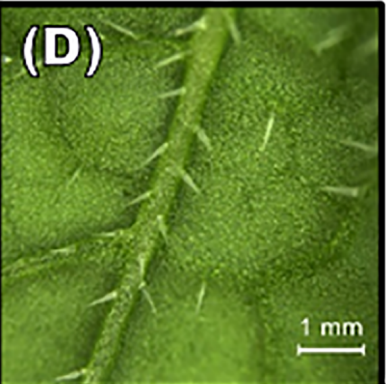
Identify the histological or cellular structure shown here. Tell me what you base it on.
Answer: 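Trichome. Short, pale, pointed hairs stand out from a raised vein running diagonally across the panel. A few similar hairs are scattered on the blade beside the vein.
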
